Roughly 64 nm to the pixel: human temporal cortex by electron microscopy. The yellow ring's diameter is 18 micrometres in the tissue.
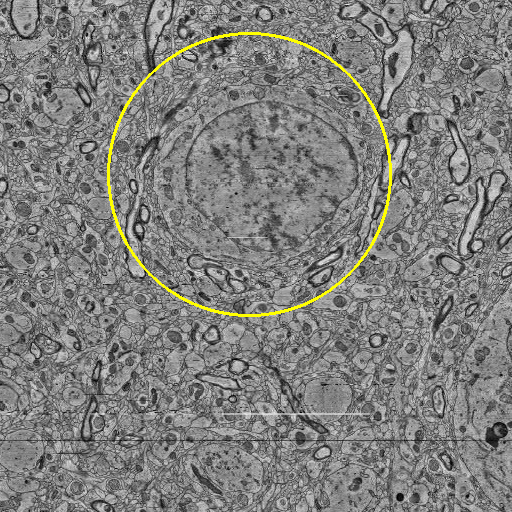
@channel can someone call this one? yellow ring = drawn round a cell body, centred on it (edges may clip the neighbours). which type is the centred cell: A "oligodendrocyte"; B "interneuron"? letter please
B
